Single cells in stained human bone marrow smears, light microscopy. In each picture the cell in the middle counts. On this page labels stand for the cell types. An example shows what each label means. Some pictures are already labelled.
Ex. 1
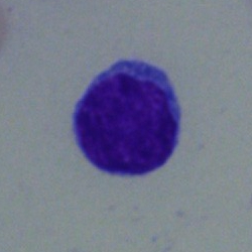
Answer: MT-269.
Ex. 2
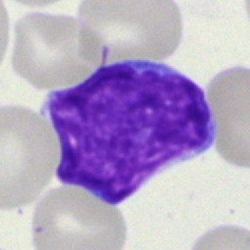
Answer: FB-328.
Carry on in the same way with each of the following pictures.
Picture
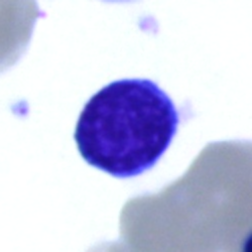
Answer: MT-269.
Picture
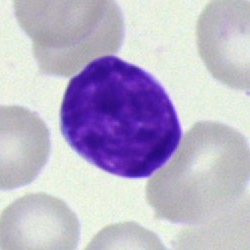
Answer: FB-328.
